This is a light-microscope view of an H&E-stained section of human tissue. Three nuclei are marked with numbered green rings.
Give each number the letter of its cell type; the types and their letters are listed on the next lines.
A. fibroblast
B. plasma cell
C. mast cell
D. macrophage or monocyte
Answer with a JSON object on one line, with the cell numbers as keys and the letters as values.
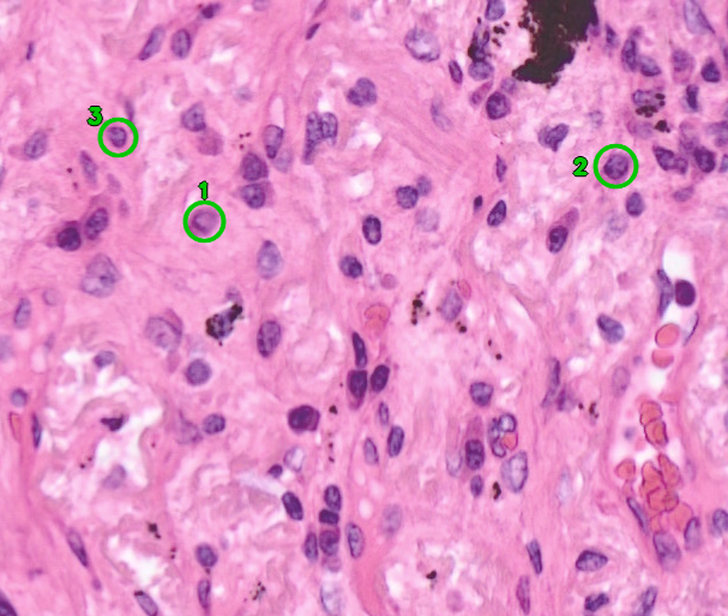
{"1": "B", "2": "B", "3": "C"}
